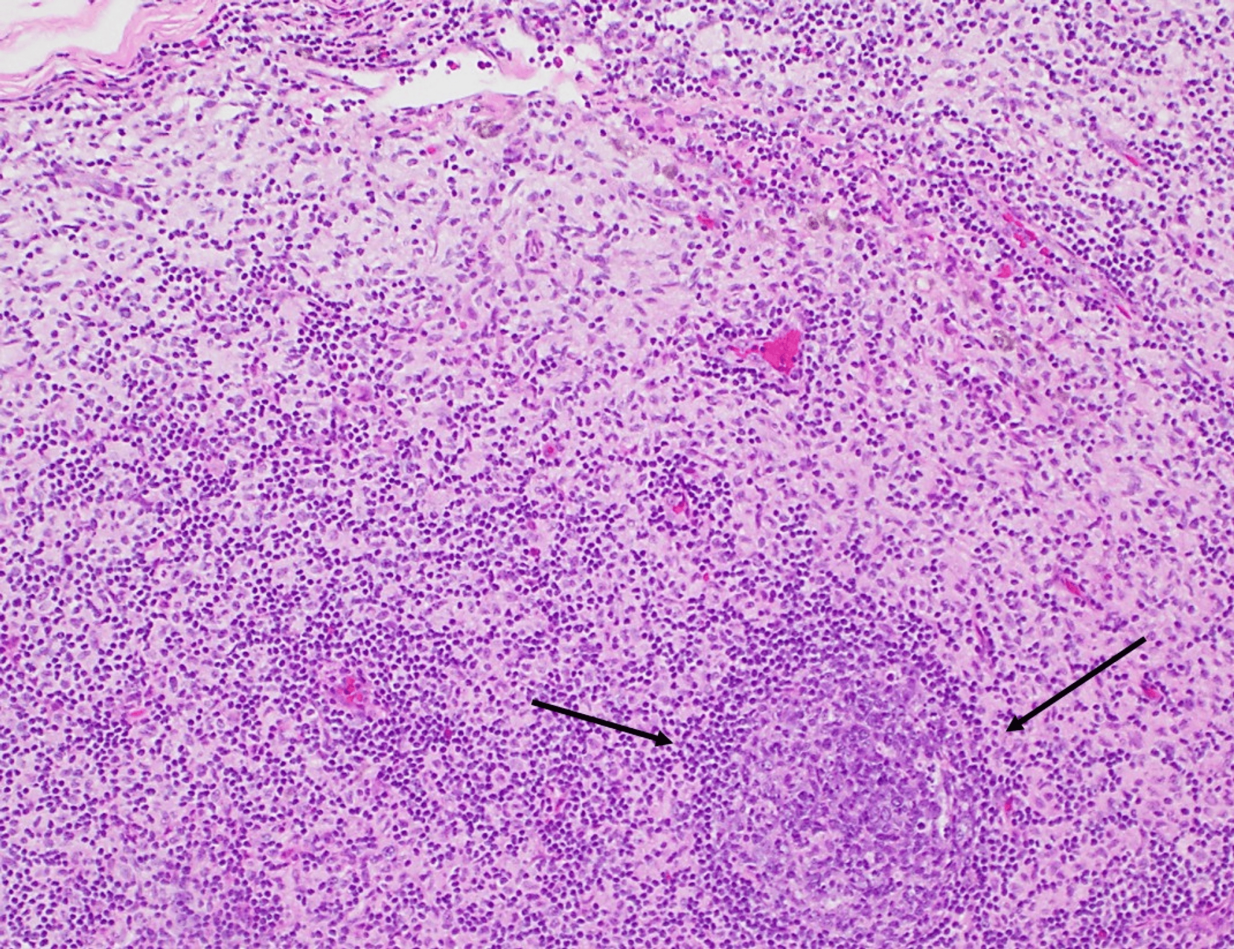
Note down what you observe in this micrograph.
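This is lymph node tissue made up mostly of densely packed small lymphocytes with round, dark purple nuclei and scant cytoplasm. The paler centre is ringed by a dense rim of small dark lymphocytes. Between the lymphocytes, pale pink areas contain spindle-shaped and oval cells with lighter nuclei, along with small vessels holding red blood cells. Toward the top edge, the tissue is looser and paler, and there are clear spaces bordered by pink fibrous bands.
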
